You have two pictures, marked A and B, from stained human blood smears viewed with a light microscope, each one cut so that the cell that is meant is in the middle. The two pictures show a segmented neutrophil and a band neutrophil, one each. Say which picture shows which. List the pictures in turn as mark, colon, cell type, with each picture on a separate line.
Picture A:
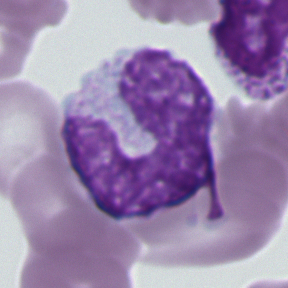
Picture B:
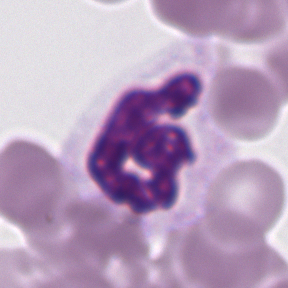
A: band neutrophil
B: segmented neutrophil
